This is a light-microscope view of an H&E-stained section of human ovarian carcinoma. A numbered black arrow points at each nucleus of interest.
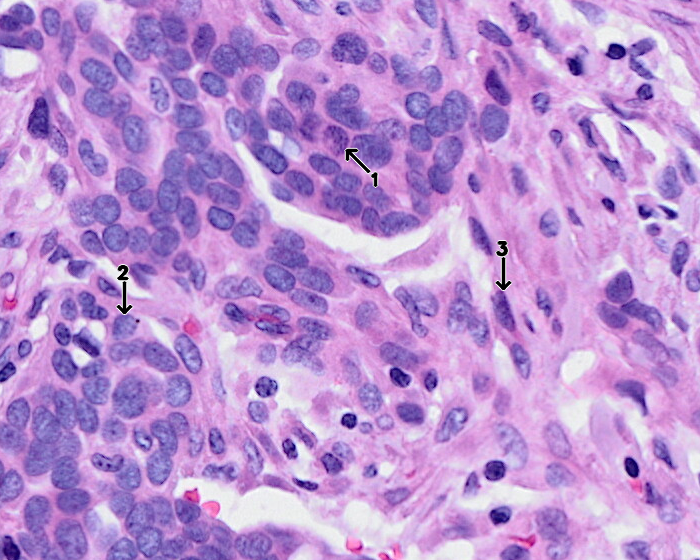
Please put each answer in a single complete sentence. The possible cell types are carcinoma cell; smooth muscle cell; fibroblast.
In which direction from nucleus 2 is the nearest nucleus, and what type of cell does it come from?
The nearest nucleus is that of a carcinoma cell and lies below nucleus 2.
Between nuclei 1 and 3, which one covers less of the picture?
The smaller nucleus is 1, and 3 covers roughly 1.5 times its area.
